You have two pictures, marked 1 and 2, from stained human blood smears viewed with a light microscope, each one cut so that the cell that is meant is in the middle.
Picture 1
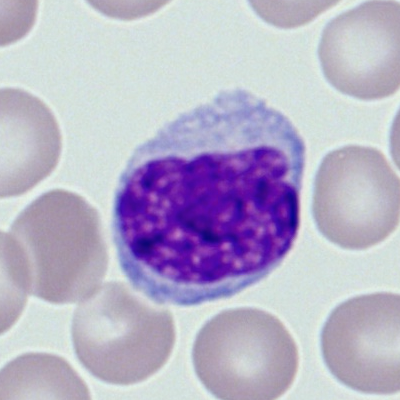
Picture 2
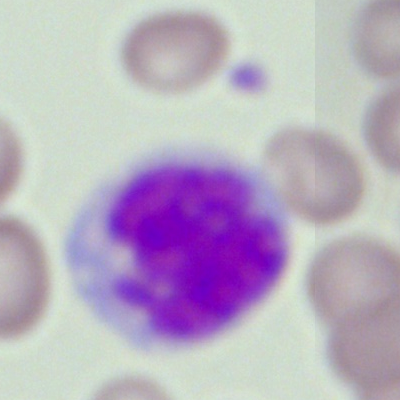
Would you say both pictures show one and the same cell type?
yes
